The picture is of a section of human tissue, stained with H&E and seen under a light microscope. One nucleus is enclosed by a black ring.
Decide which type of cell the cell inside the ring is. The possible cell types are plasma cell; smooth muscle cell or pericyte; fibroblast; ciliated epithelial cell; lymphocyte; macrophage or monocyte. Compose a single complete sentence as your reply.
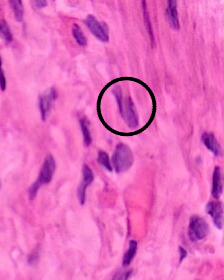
Assigned to a cell type, the cell inside the ring is a fibroblast.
